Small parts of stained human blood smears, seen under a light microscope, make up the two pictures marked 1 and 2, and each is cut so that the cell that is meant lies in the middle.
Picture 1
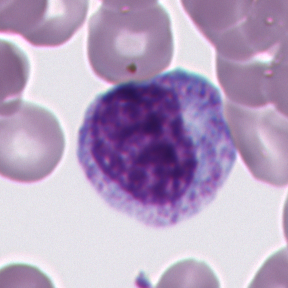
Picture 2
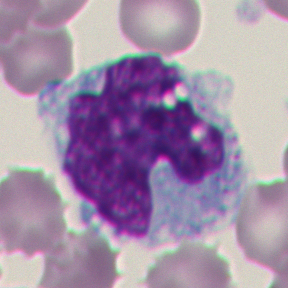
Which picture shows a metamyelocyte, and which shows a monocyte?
1: metamyelocyte
2: monocyte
